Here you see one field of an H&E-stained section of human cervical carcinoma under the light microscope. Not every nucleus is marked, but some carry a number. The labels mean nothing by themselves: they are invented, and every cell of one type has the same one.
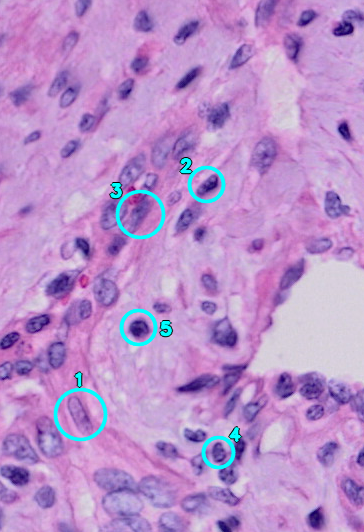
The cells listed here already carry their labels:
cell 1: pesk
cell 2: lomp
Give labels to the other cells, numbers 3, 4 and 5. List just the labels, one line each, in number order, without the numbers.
pesk
lomp
lomp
